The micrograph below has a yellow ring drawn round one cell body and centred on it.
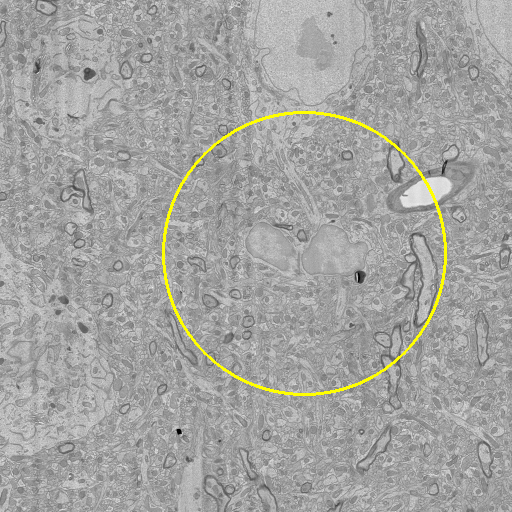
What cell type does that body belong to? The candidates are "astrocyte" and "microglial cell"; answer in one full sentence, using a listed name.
This is a microglial cell, the cell whose body lies at the centre of the ring.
